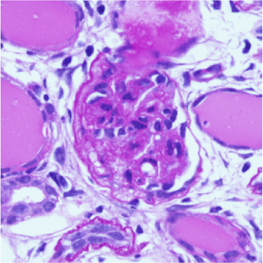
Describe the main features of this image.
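A glomerulus sits in the centre of kidney cortex, its tuft compacted and filled with pink-staining matrix so that few open capillary loops remain, and scattered dark purple nuclei lie within it. The tuft nearly fills the capsule with little clear urinary space. Around it lie tubules that are widened and filled with smooth, homogeneous pink casts, and a tubule above holds brighter pink material. The interstitium between the tubules is widened and contains scattered elongated nuclei. Tubular linings are thin and flattened around the casts.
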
